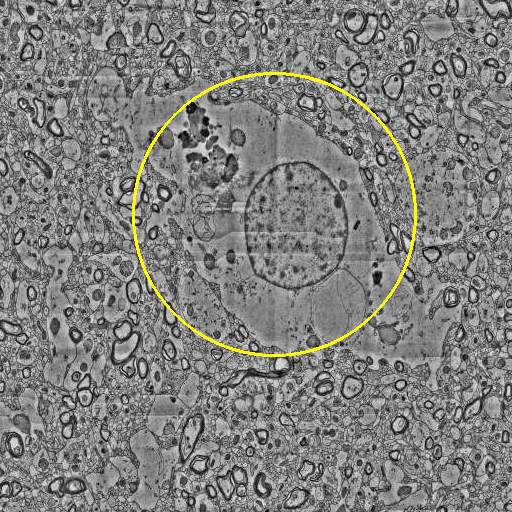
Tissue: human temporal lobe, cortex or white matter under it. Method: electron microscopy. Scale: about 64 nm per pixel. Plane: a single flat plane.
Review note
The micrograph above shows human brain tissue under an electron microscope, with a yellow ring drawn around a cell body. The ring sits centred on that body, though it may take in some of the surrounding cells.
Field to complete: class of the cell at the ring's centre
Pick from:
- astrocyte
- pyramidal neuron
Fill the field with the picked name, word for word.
astrocyte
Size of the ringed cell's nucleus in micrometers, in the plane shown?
In this plane the nucleus measures roughly 8 by 7 micrometers.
